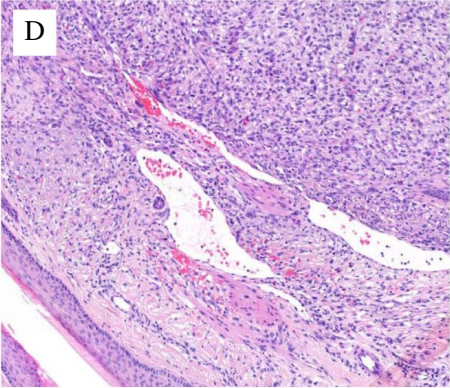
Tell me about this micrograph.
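Edge of a cellular spindle cell tumour with adjoining vascular spaces. The upper part shows densely packed spindle and oval tumour cells with dark nuclei. Below, thin-walled channels lined by flat endothelial cells and holding red blood cells run in parallel along the tumour border, separated by looser pink stroma. At the lower left lies a strip of stratified squamous epithelium. The tumour cells abut the vascular channels closely, without a thick intervening capsule.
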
